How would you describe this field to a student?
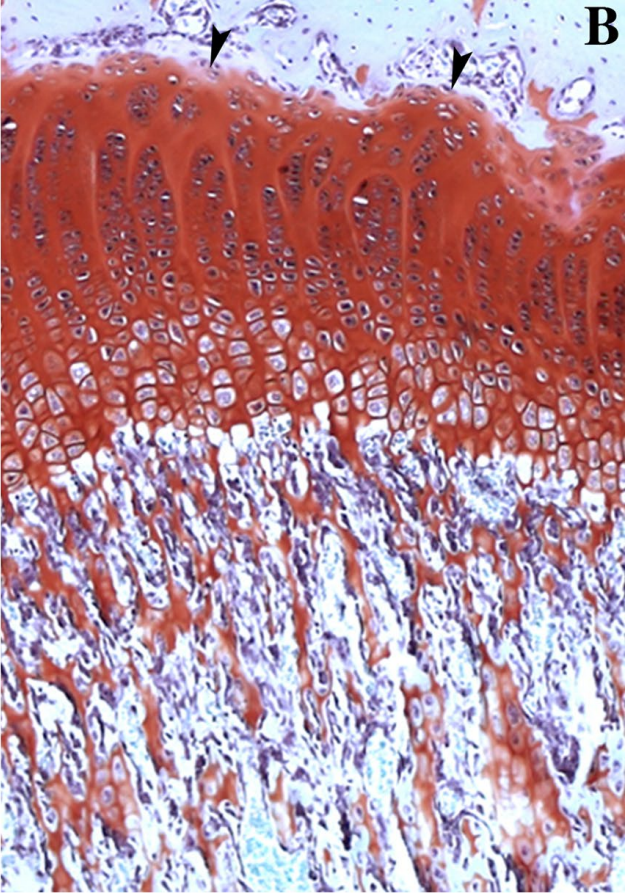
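A band of cartilage with orange-red matrix spans the field. At its upper edge small, flattened-to-round chondrocytes lie singly and sparsely in the matrix. Below them the chondrocytes are stacked into parallel longitudinal columns, separated by septa of red matrix. Toward the bottom of the band the cells in each column grow larger and paler, with clear cytoplasm, forming rows of swollen cells. Under the cartilage, thin red-stained spicules extend downward into a loose, cell-rich tissue with purple nuclei and spaces.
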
